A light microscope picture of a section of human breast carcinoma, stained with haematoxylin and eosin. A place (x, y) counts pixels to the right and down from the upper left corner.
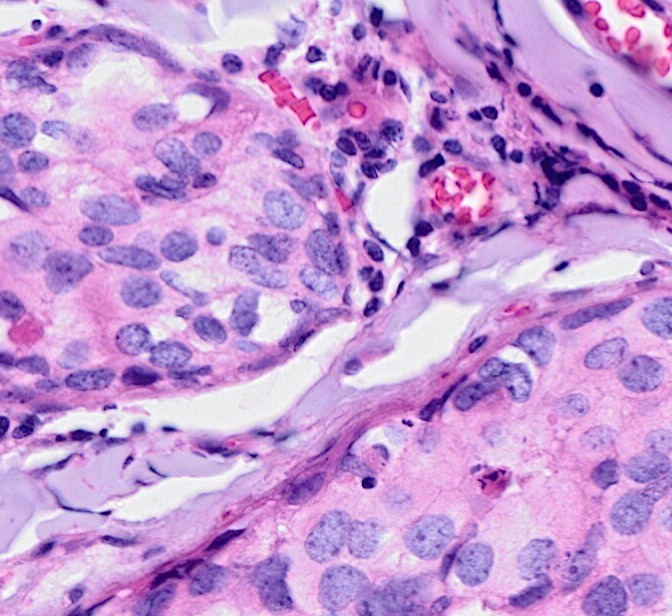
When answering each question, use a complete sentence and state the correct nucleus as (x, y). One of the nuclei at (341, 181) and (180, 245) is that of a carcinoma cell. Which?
Located at (180, 245), this nucleus is the one belonging to a carcinoma cell.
